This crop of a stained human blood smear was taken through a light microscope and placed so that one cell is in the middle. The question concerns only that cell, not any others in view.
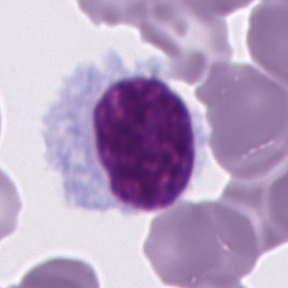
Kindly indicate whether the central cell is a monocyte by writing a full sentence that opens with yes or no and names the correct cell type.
No, it isn't a monocyte; what sits in the middle is a hairy cell.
